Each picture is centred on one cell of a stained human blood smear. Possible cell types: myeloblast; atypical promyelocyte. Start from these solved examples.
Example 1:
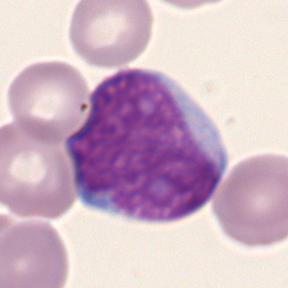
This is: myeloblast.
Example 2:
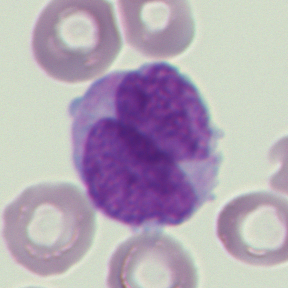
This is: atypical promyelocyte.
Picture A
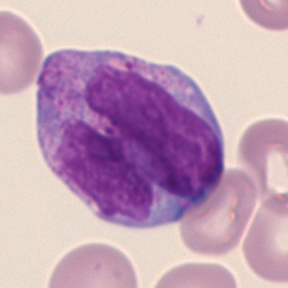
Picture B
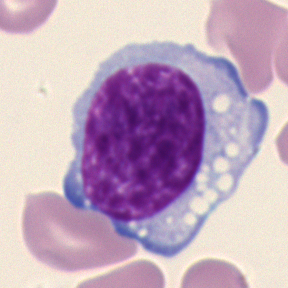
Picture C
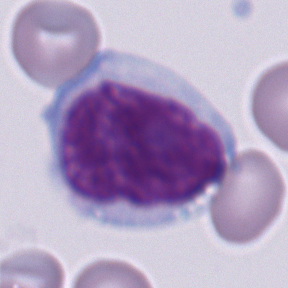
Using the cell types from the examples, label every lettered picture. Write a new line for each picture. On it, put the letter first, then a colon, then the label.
A: atypical promyelocyte.
B: myeloblast.
C: myeloblast.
